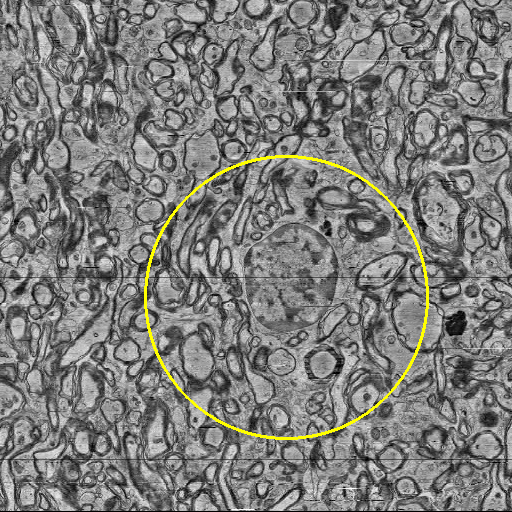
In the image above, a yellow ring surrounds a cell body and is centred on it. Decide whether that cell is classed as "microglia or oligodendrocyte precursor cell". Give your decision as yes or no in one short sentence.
Yes, it is classed as that kind.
